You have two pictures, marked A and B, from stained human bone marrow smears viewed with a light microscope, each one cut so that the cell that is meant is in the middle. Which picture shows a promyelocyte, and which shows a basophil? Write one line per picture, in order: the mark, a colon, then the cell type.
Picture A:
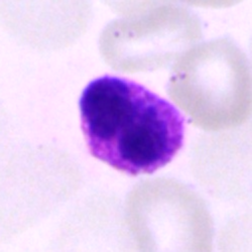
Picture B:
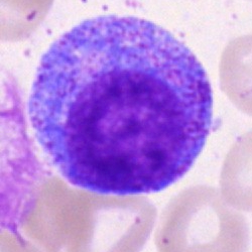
A: basophil
B: promyelocyte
